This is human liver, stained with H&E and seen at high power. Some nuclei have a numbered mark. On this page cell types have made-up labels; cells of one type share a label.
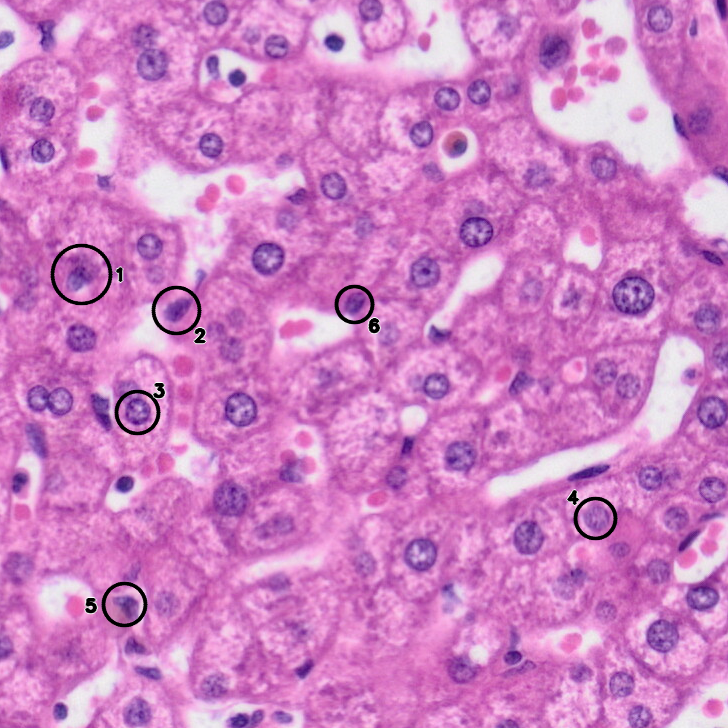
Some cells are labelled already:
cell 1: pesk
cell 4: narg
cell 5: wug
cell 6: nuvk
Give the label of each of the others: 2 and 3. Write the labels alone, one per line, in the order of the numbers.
nuvk
narg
